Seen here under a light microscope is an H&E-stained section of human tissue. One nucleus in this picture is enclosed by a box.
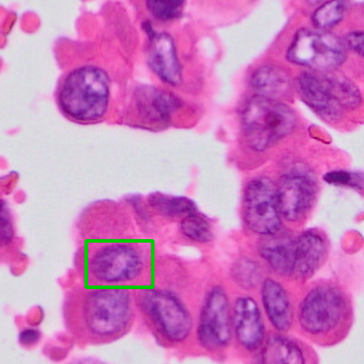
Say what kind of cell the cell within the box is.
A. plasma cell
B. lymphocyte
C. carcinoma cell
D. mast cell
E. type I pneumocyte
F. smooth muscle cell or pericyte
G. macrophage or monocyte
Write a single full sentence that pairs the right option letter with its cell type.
The choice that fits is option C, as the cell within the box is a carcinoma cell.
